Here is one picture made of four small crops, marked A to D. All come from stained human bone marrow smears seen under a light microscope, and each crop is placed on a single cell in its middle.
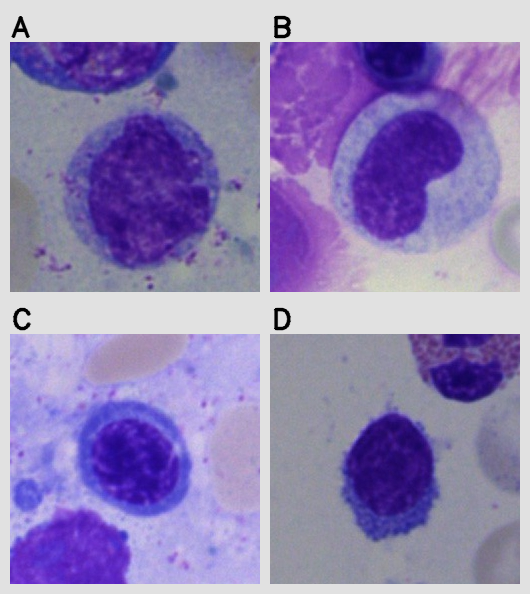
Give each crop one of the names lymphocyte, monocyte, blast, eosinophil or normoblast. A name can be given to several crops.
A: monocyte
B: monocyte
C: normoblast
D: lymphocyte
